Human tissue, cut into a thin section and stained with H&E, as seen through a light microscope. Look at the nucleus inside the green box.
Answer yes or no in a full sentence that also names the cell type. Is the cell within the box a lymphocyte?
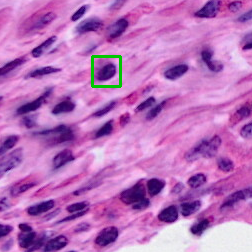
Yes, the cell within the box is, by its type, a lymphocyte.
